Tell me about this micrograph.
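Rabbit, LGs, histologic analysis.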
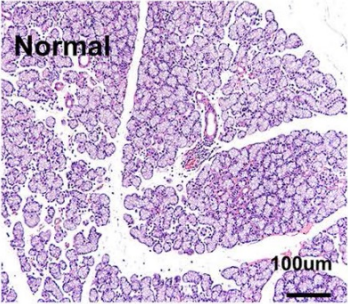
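This is glandular tissue made of lobules of tightly packed acini. The acinar cells have pale pink-purple cytoplasm and small dark nuclei, and the lobules are separated by thin clear septa. A small vessel and duct run through the centre, with no dense gathering of dark cells around them.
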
